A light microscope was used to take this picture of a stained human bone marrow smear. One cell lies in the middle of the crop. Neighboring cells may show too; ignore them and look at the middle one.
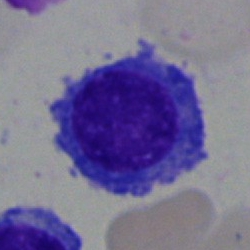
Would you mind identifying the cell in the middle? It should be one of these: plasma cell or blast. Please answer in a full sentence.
The center cell of this crop is a plasma cell.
